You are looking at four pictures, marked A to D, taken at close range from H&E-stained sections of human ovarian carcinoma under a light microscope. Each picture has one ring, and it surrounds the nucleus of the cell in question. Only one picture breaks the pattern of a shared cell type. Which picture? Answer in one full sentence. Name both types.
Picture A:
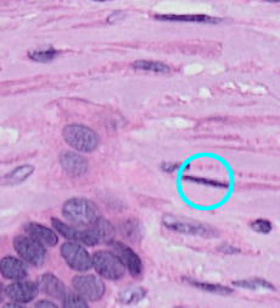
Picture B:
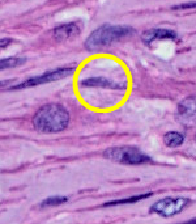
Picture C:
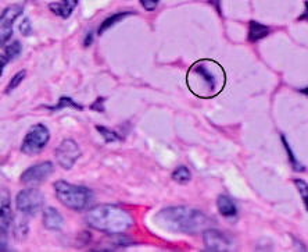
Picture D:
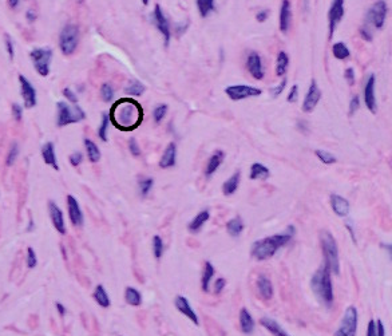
Picture D is the odd one out: it shows a smooth muscle cell, while the others show fibroblasts.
